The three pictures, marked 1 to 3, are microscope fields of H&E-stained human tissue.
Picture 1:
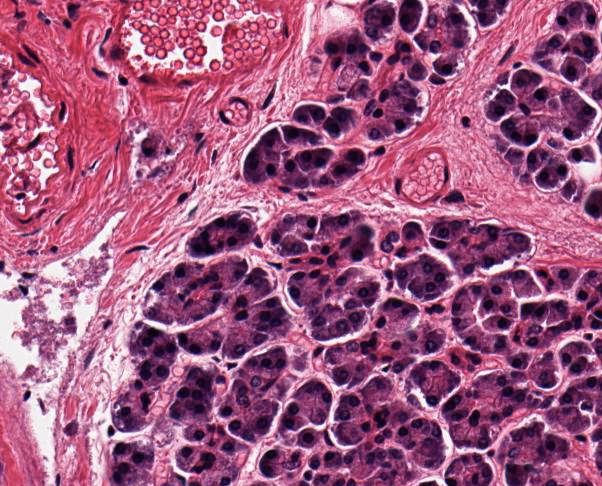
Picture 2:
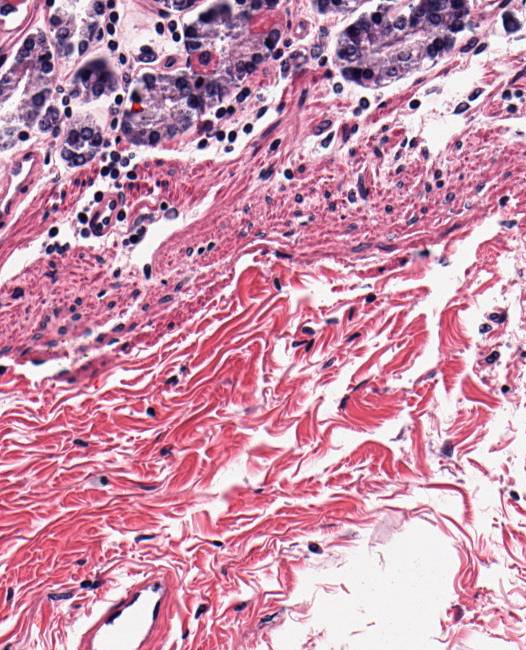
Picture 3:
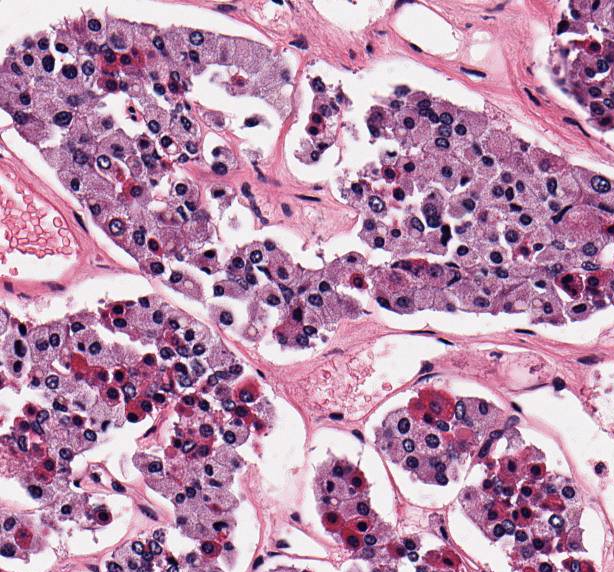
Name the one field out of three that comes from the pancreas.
1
